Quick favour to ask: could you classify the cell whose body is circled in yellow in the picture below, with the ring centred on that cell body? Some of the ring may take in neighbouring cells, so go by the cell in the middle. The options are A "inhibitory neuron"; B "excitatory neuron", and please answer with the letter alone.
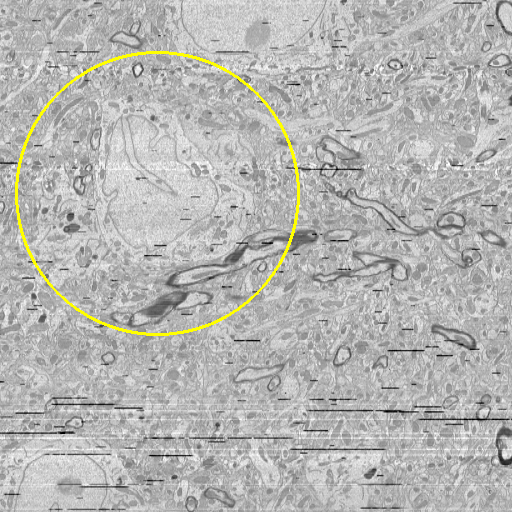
A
